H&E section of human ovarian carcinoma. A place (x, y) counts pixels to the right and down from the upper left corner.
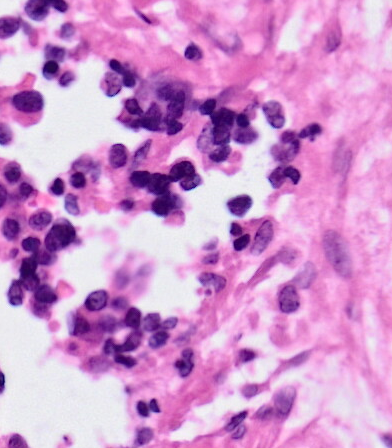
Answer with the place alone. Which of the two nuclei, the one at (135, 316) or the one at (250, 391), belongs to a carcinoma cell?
(135, 316)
